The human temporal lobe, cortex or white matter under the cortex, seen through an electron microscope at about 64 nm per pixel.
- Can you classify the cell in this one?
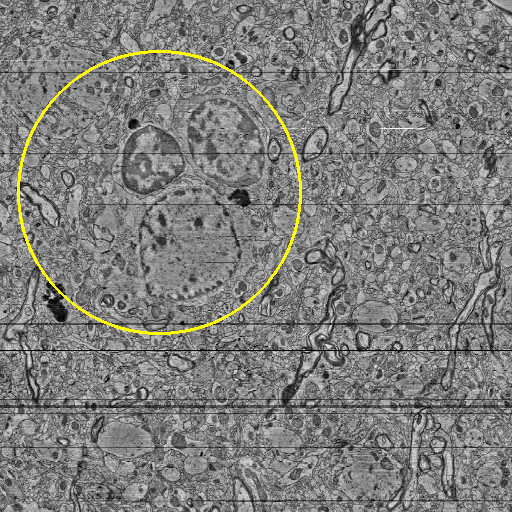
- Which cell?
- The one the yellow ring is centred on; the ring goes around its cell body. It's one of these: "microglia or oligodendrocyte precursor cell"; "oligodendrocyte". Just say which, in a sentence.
The cell body in the ring belongs to a microglial cell or oligodendrocyte precursor cell.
